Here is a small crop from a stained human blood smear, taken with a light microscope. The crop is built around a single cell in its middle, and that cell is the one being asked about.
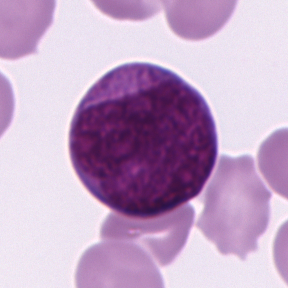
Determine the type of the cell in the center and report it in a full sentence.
Of the cells in this crop, the central one is a myeloblast.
